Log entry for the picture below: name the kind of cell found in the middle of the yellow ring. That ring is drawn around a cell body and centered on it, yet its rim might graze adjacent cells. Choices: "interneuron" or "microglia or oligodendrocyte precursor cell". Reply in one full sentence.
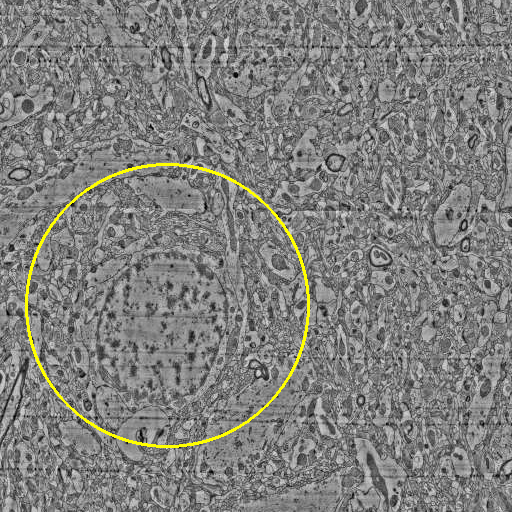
The cell in the middle of the yellow ring in this picture is an interneuron.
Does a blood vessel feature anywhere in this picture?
No, no blood vessel shows in the picture.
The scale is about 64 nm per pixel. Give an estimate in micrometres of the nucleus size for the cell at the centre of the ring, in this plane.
About 10 by 8 micrometers for the nucleus, in this plane.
